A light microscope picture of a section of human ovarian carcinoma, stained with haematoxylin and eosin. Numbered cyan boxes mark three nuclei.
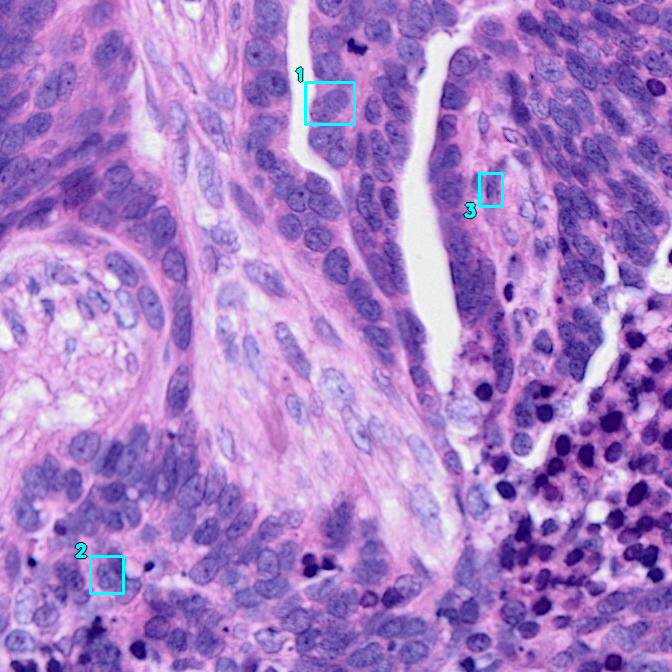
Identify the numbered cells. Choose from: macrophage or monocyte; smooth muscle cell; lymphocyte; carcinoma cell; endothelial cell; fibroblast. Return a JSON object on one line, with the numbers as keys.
{"1": "carcinoma cell", "2": "carcinoma cell", "3": "fibroblast"}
